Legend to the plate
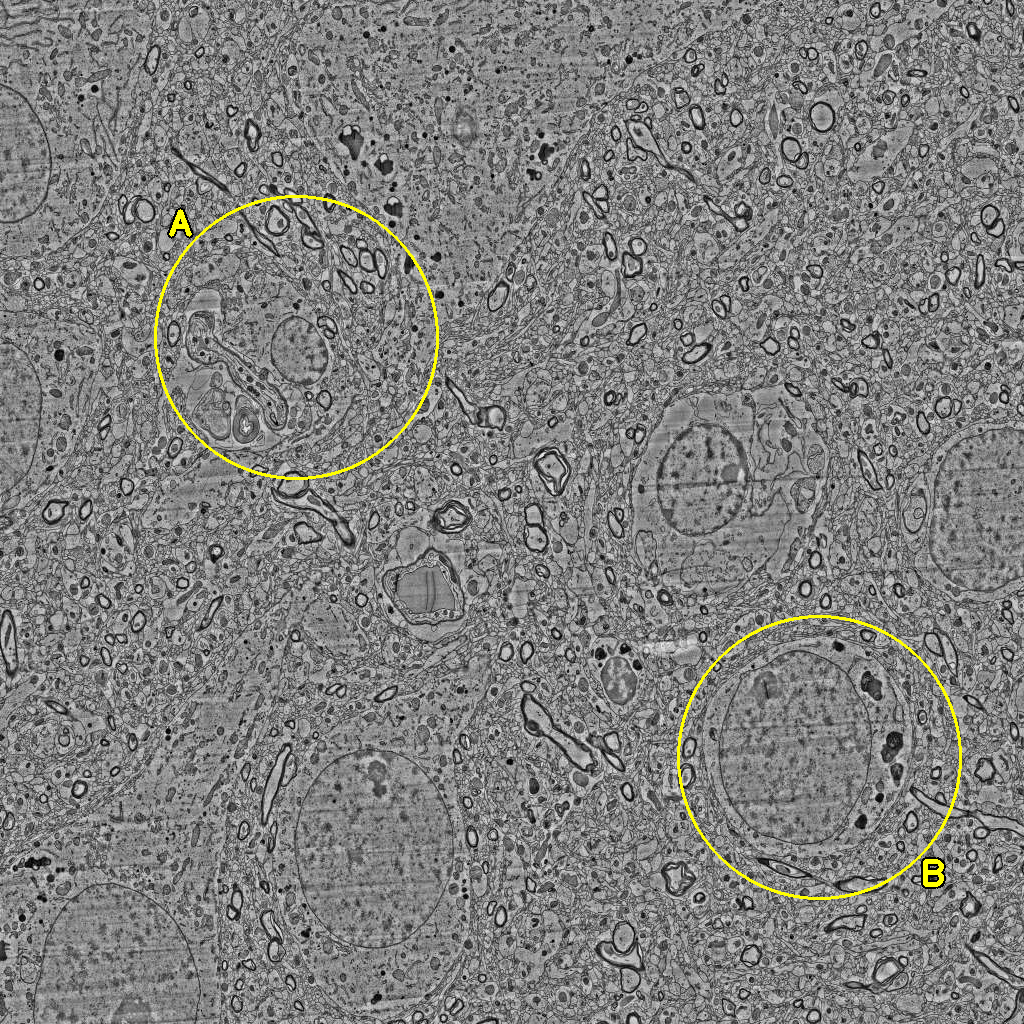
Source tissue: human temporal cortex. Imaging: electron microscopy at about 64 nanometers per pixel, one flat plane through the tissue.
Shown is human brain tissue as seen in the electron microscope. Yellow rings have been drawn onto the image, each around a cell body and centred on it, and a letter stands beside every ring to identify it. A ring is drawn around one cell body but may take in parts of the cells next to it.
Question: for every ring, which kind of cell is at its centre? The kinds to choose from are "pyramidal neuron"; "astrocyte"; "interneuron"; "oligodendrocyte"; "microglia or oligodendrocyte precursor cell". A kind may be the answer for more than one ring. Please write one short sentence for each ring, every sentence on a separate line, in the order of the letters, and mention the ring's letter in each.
The kind of cell at the centre of ring A is a microglial cell or oligodendrocyte precursor cell.
The kind of cell at the centre of ring B is a pyramidal neuron.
